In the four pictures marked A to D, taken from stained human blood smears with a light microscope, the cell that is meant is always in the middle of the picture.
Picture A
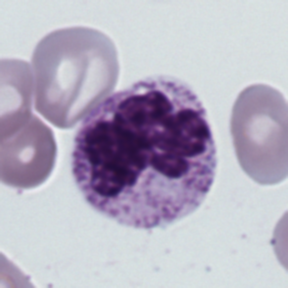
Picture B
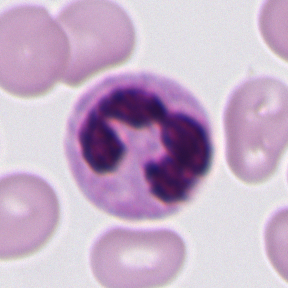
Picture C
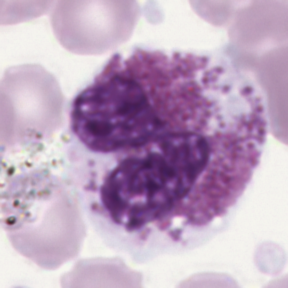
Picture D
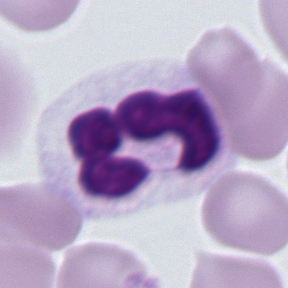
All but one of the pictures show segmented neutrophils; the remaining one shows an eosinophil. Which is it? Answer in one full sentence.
The eosinophil is the one in picture C.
